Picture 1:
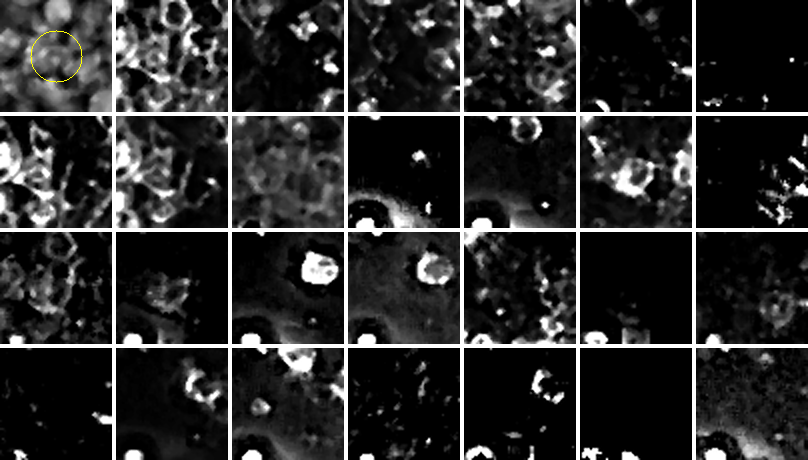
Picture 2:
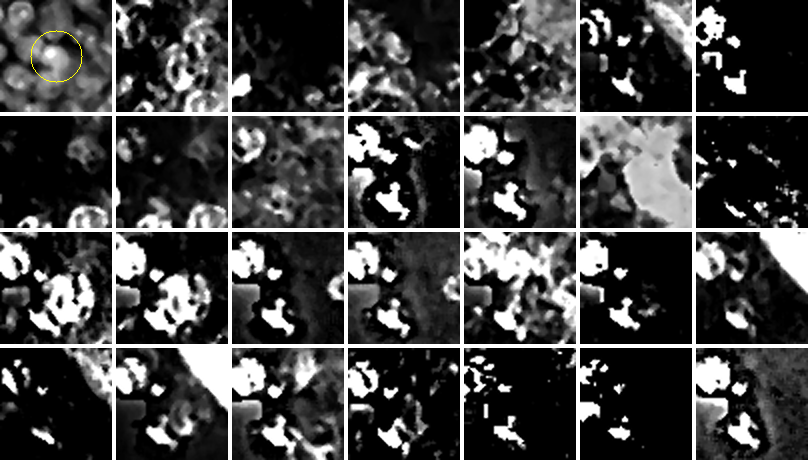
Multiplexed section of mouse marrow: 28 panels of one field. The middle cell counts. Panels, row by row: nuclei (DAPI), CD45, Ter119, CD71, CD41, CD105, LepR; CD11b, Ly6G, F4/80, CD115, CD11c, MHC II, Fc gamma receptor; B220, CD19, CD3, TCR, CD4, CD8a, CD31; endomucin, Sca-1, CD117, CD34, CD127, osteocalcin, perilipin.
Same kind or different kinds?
Same: B cells.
